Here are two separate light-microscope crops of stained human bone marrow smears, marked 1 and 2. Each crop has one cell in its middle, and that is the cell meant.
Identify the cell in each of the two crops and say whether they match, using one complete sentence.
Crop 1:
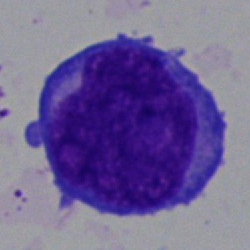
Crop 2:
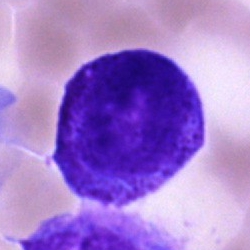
Yes, what both crops show is blasts.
